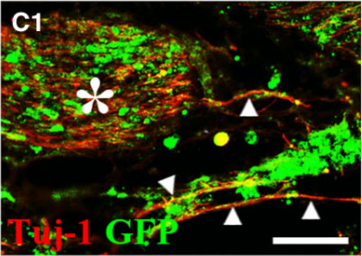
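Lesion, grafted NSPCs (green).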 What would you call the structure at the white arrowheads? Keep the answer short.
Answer: Axons.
